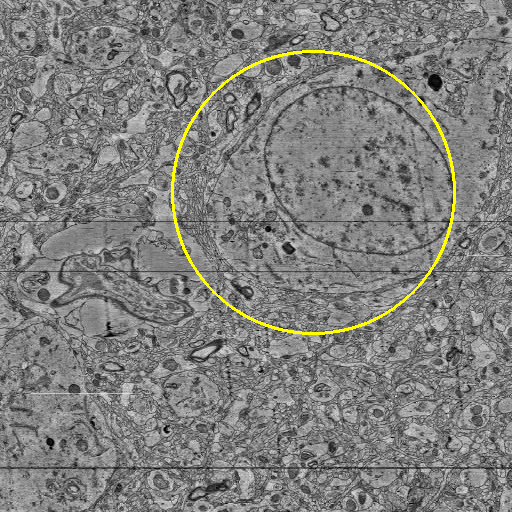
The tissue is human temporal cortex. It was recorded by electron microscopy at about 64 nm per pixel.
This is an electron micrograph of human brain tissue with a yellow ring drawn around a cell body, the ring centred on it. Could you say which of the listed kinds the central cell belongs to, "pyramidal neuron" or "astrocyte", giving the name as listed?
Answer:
pyramidal neuron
